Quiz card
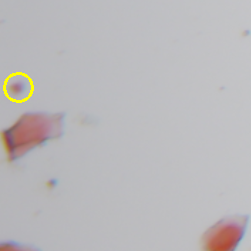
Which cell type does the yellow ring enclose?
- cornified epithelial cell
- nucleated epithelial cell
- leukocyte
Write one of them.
leukocyte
